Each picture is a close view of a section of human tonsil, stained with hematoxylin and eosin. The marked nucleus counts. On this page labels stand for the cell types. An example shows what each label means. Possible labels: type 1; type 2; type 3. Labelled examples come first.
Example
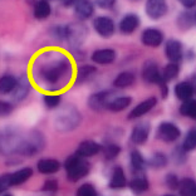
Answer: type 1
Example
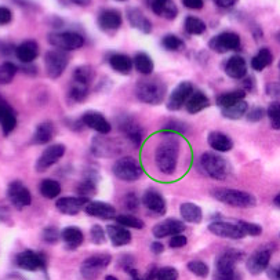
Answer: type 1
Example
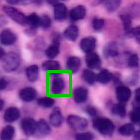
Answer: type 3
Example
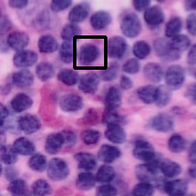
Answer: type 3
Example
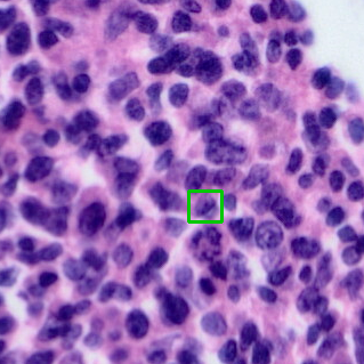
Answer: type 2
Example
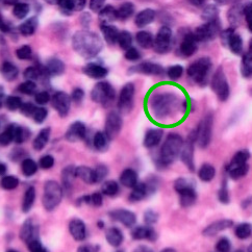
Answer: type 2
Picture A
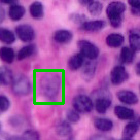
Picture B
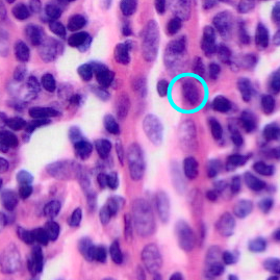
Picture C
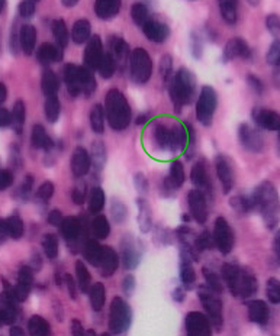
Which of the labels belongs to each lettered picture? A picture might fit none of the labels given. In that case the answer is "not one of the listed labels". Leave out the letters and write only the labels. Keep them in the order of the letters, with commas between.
type 1, type 1, type 2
